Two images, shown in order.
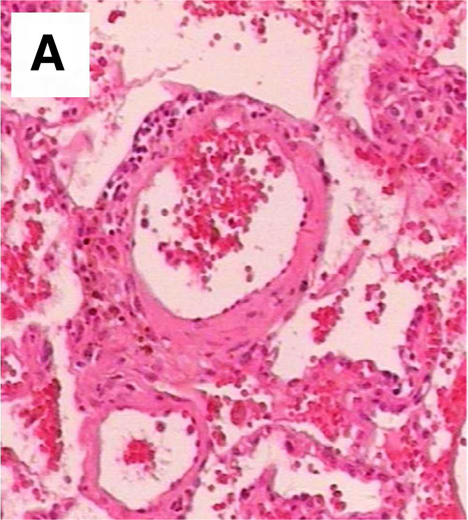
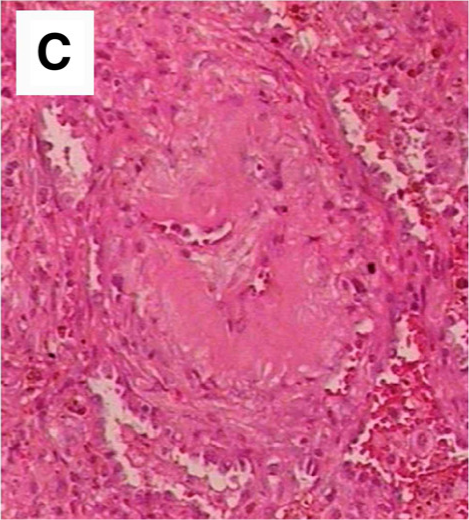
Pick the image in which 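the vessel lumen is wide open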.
The first image.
